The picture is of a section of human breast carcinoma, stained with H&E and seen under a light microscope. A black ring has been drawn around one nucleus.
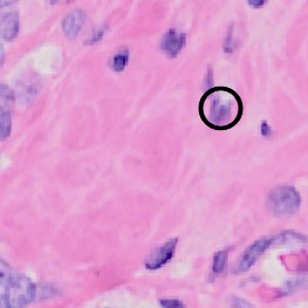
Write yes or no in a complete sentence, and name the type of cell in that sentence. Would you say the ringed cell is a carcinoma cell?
No, a carcinoma cell is not what the ringed cell is; it is an endothelial cell.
